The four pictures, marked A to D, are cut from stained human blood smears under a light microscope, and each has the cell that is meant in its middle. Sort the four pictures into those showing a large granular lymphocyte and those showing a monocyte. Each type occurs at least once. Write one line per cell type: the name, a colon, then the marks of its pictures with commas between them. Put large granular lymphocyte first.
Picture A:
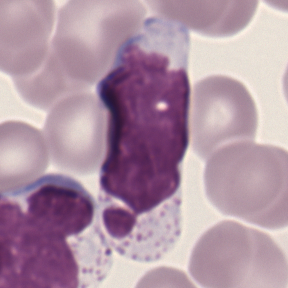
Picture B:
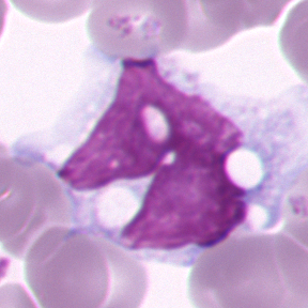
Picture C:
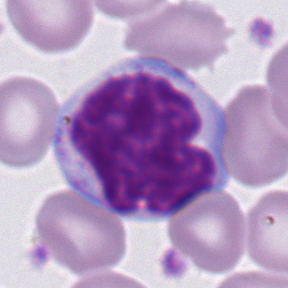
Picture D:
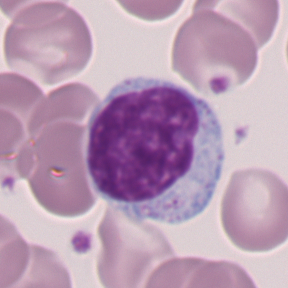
large granular lymphocyte: A, C, D
monocyte: B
